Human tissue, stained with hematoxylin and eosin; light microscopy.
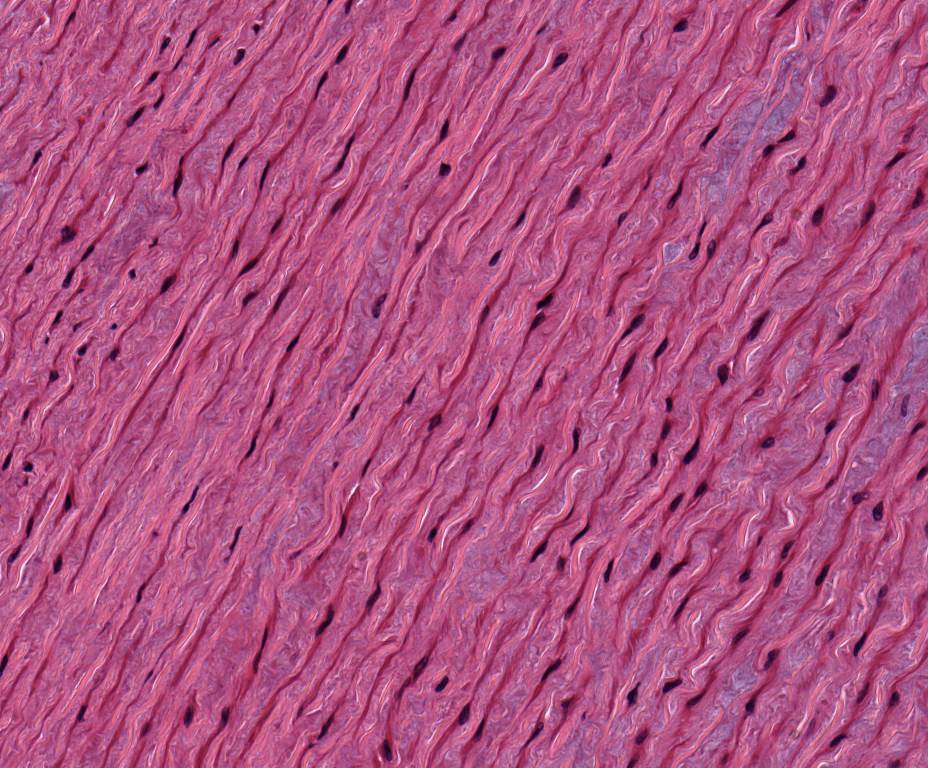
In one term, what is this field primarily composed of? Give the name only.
tunica media of an artery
